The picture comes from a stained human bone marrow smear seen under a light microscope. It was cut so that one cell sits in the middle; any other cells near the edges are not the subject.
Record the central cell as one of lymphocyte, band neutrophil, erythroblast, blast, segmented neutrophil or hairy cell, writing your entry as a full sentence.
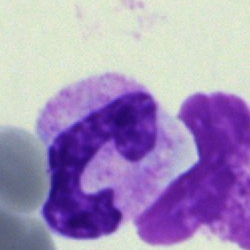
Centrally within this crop lies a band neutrophil.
